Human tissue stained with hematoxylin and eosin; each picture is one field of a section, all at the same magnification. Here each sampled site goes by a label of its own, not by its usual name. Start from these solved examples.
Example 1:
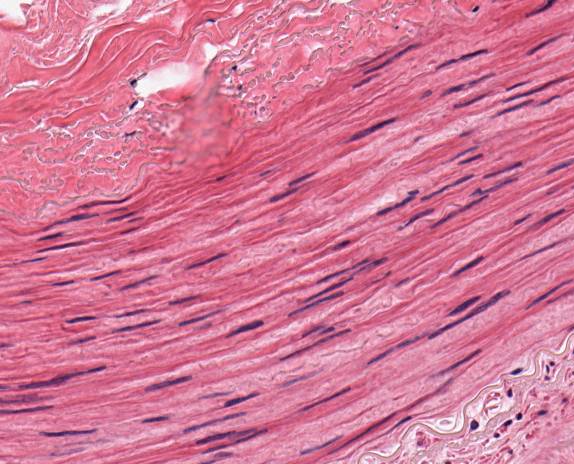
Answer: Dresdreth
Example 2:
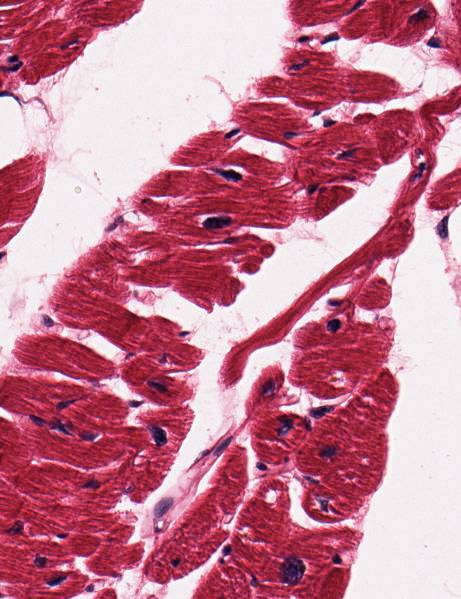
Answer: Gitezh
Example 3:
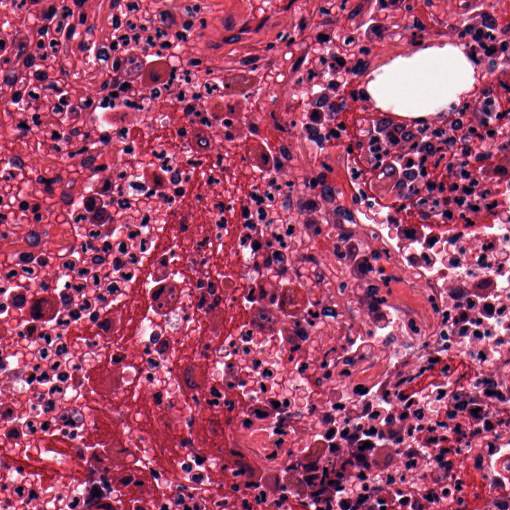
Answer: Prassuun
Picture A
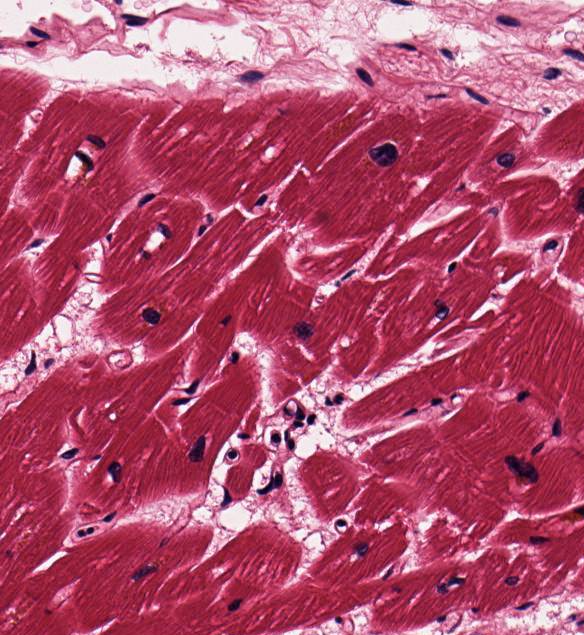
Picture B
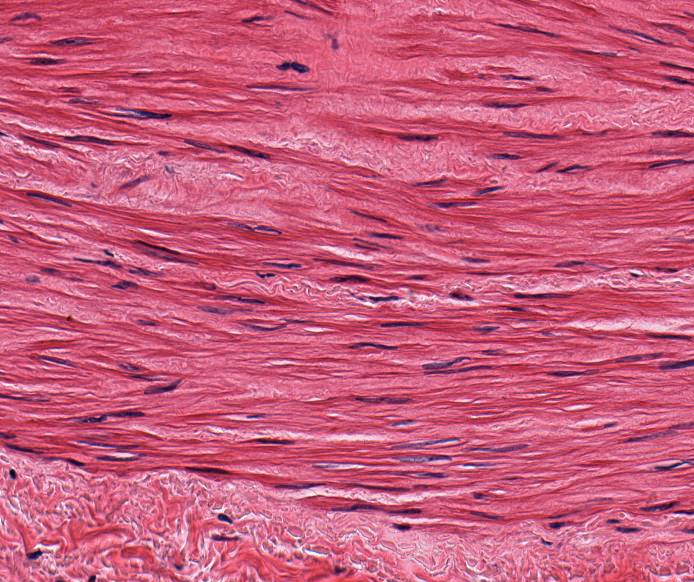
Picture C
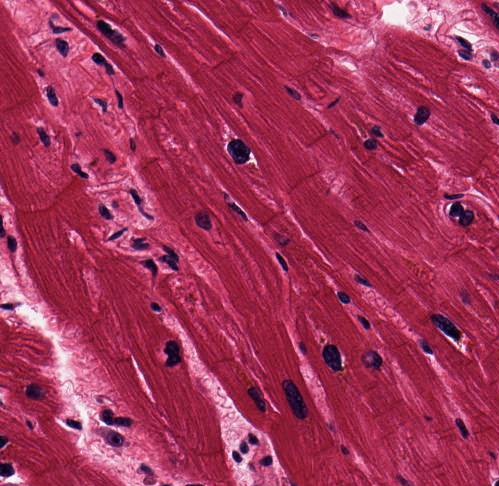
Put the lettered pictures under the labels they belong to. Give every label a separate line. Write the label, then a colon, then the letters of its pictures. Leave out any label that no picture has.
Dresdreth: B
Gitezh: A, C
